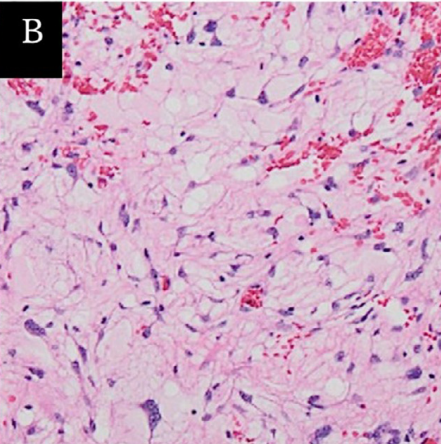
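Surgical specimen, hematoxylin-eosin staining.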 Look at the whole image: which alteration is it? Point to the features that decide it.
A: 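Microcystic components. Many small round clear spaces lie among the cells. Cells are loosely spaced with thin pale processes in a pale background. Red blood cells are scattered between the spaces.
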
